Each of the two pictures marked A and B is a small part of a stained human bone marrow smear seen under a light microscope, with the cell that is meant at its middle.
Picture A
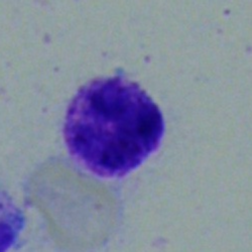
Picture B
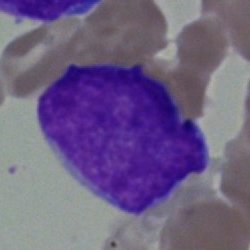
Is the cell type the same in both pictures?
no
